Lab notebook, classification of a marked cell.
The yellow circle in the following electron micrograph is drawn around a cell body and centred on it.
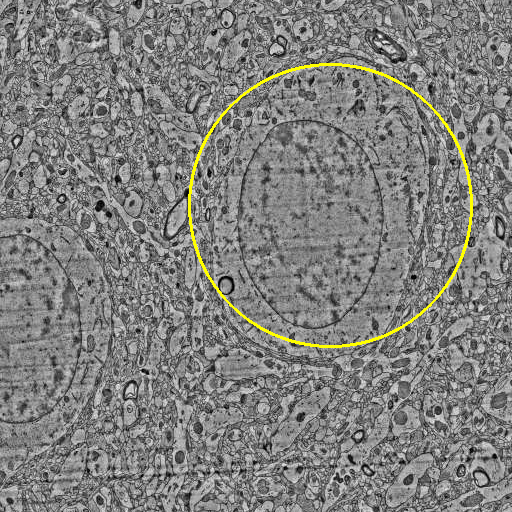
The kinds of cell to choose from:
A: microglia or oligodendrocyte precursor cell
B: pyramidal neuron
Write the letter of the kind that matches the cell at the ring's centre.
B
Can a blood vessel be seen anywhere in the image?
No, the picture includes no blood vessel.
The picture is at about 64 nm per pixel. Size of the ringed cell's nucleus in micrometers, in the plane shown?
In this plane the nucleus spans approximately 13 by 9 micrometers.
